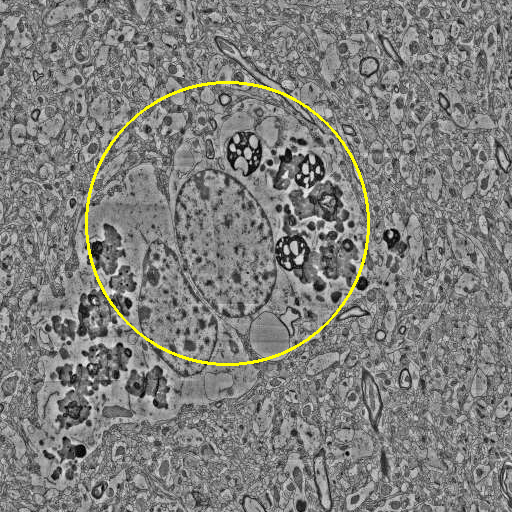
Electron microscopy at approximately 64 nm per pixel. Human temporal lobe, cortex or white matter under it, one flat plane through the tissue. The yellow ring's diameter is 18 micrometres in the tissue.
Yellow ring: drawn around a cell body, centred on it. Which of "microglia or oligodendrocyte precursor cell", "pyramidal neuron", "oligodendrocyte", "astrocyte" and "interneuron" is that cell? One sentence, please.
That cell body is from an astrocyte.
